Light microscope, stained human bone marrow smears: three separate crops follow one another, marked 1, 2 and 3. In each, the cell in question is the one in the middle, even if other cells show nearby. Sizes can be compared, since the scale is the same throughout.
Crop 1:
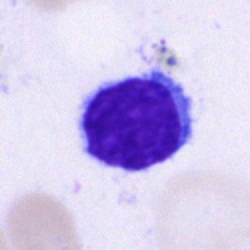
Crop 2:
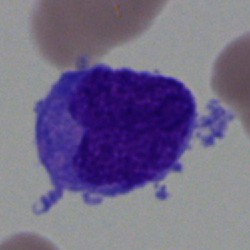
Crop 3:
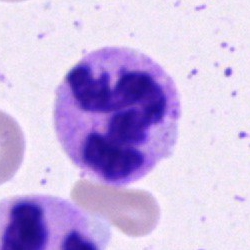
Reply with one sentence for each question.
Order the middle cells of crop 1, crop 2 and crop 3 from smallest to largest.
Going up, they run 1, 3, 2.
